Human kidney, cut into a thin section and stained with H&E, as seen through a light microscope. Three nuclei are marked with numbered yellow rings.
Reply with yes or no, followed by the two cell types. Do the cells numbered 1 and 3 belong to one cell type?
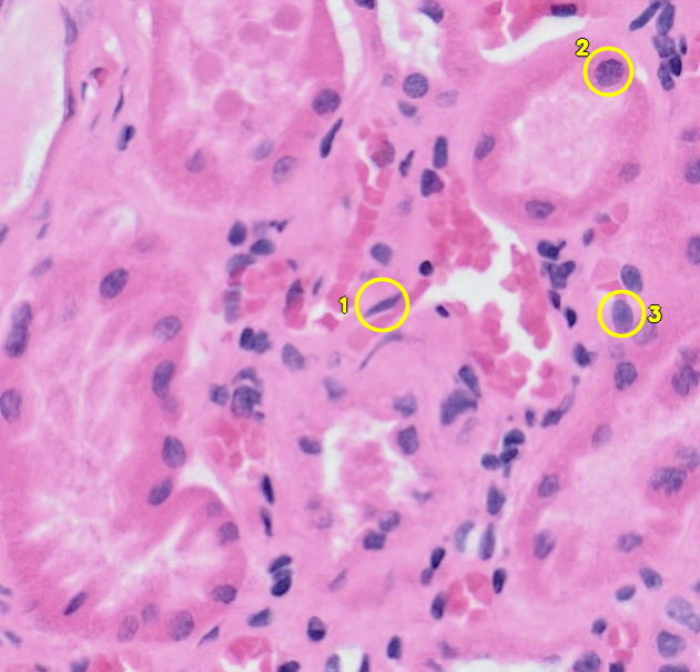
Yes, both are endothelial cells.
